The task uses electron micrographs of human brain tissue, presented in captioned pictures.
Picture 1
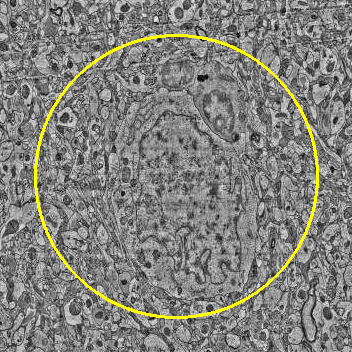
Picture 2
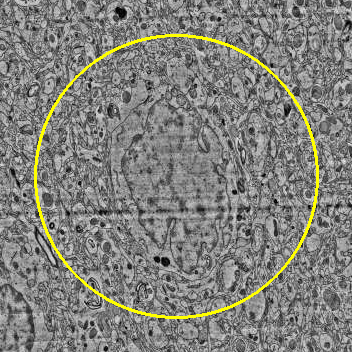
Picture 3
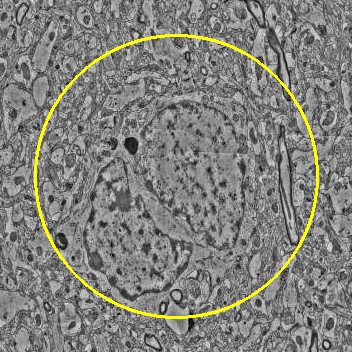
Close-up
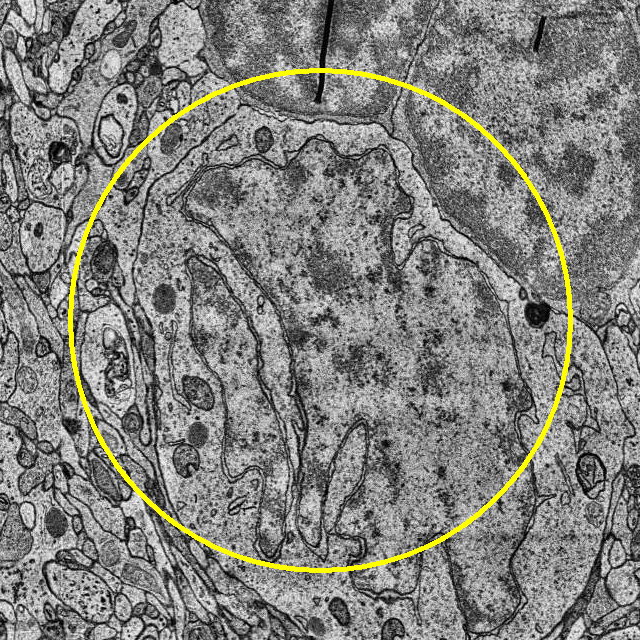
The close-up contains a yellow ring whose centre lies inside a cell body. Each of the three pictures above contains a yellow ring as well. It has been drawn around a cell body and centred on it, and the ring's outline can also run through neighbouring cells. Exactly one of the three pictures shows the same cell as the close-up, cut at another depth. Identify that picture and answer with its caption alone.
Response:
Picture 1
